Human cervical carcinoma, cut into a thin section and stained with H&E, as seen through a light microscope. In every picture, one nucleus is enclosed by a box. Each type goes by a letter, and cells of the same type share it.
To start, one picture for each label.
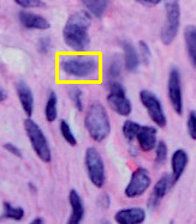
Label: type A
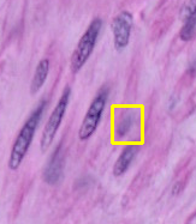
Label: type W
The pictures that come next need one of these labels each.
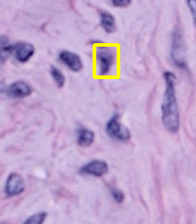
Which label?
type W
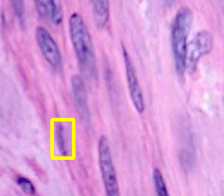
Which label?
type W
